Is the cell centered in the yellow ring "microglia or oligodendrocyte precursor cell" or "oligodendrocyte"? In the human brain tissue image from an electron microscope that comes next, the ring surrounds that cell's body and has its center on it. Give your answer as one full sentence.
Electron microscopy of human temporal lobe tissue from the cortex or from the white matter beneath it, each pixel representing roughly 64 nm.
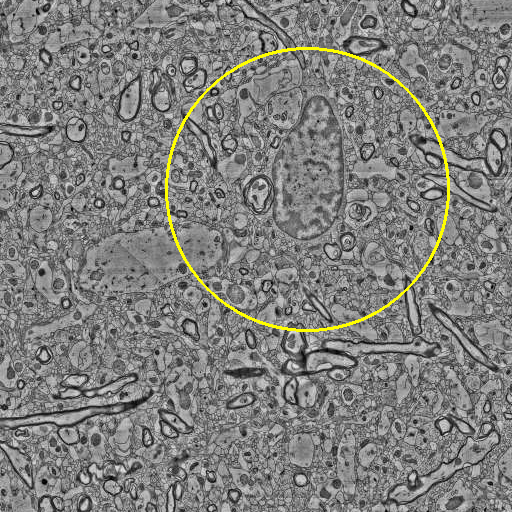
The cell at the center of the yellow ring is an oligodendrocyte in the micrograph.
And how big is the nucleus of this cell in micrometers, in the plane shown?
Roughly 8 micrometres long and 5 micrometres wide; in this plane the nucleus is clearly longer than it is wide.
